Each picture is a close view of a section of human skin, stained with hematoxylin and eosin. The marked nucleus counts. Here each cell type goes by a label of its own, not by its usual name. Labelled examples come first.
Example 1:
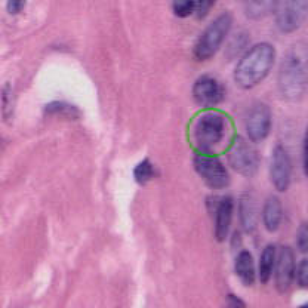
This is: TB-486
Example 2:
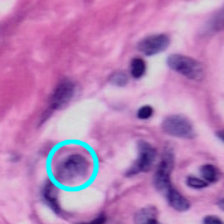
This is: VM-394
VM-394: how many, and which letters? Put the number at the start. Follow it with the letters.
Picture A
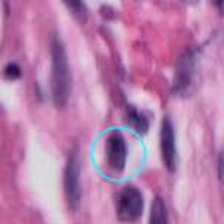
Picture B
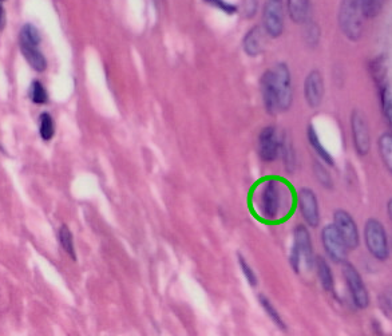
1, namely A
